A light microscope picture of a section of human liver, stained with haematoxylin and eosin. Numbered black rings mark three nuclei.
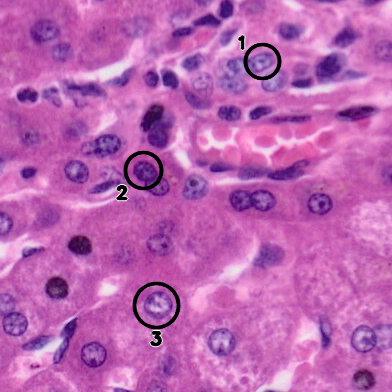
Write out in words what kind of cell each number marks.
Cells 1 and 2 are cholangiocytes. Cell 3 is a hepatocyte.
